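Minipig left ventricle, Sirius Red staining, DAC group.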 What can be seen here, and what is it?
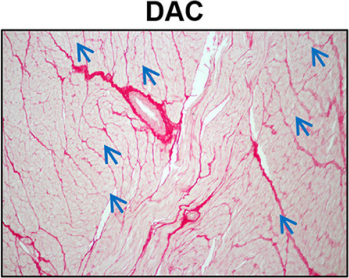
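Between the bundles run thick, wavy red strands of collagen, and a vessel in the middle is surrounded by a dense red cuff that spreads into the neighbouring tissue. Clefts and pale gaps open between some bundles. The red interstitial deposits are far more abundant than the thin septa of normal myocardium.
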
